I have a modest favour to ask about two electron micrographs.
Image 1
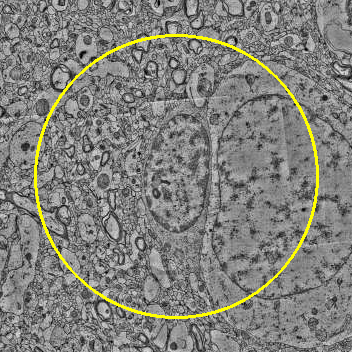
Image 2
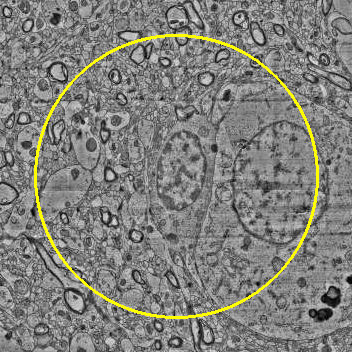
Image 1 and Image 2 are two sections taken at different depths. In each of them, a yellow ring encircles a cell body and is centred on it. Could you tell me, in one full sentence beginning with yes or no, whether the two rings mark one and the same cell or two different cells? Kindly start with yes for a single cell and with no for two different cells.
Yes, a single cell is marked twice, once by each yellow ring.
